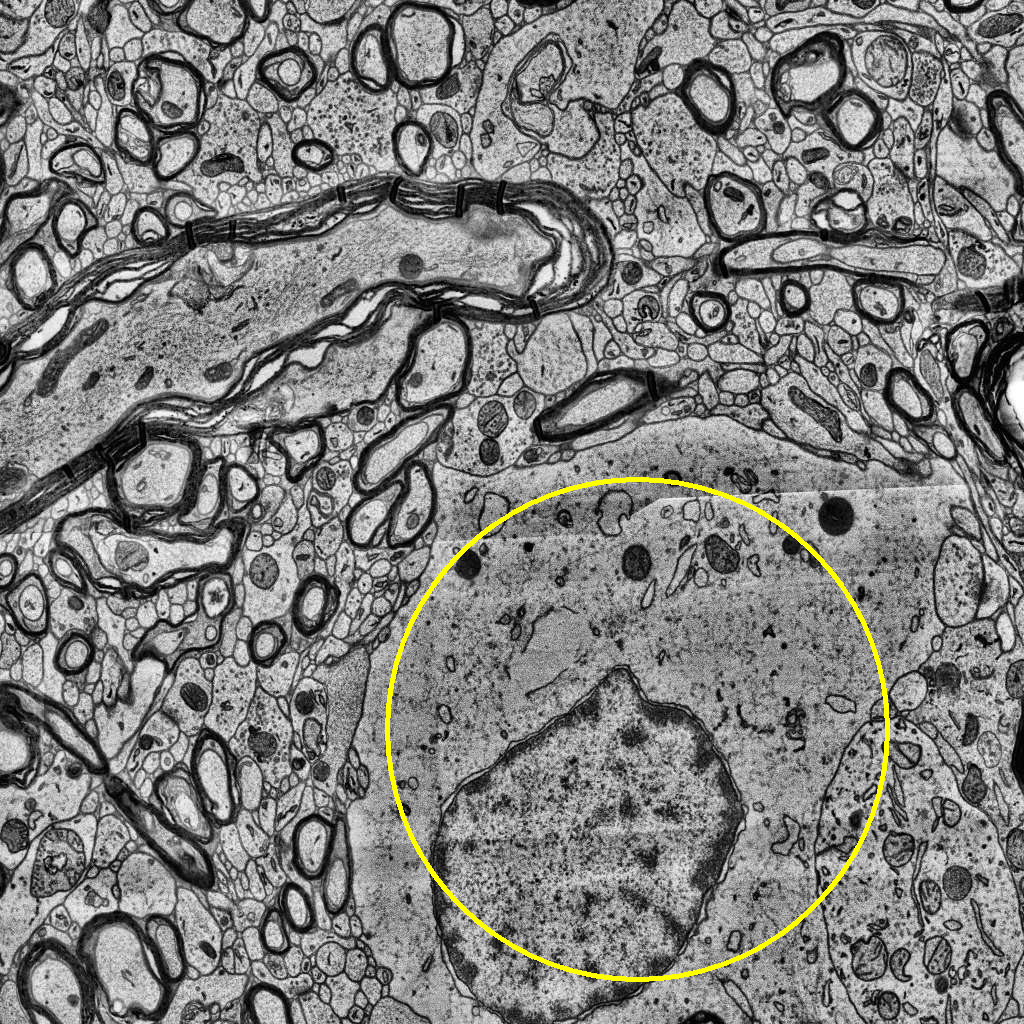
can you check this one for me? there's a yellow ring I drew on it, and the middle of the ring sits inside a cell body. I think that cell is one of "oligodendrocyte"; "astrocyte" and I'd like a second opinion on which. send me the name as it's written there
astrocyte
